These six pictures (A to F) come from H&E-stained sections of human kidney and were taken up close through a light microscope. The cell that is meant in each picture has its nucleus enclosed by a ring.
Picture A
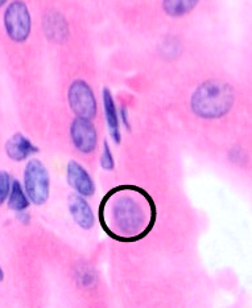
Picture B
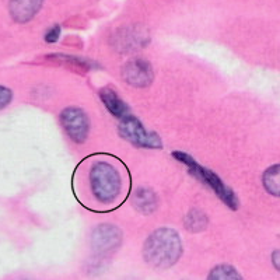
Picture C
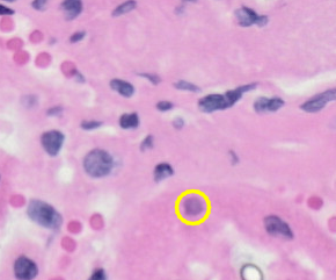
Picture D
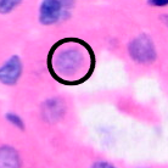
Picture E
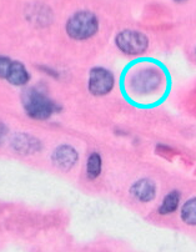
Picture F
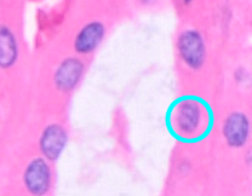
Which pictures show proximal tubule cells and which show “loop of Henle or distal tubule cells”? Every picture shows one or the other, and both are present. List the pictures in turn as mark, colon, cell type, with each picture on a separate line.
A: proximal tubule cell
B: loop of Henle or distal tubule cell
C: proximal tubule cell
D: loop of Henle or distal tubule cell
E: loop of Henle or distal tubule cell
F: loop of Henle or distal tubule cell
